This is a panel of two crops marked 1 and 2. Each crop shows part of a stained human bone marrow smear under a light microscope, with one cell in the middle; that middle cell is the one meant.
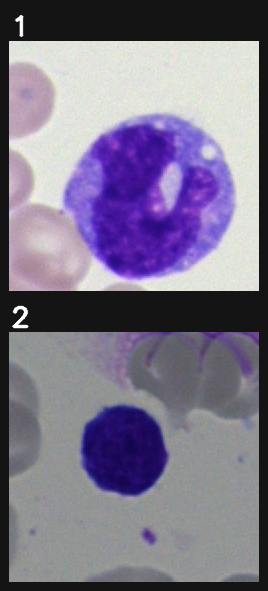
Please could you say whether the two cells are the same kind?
no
